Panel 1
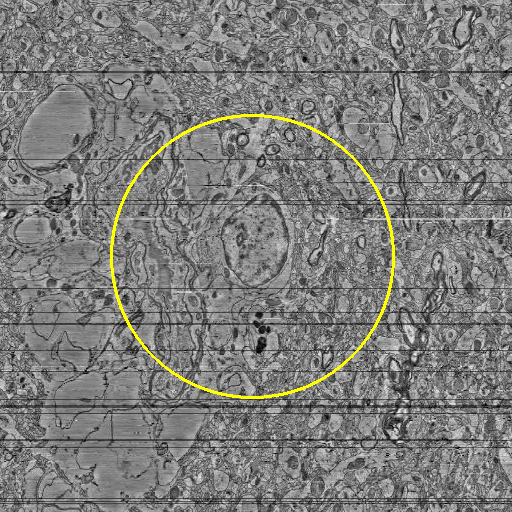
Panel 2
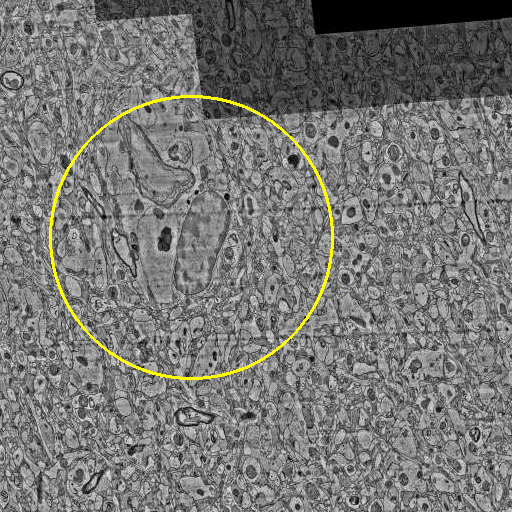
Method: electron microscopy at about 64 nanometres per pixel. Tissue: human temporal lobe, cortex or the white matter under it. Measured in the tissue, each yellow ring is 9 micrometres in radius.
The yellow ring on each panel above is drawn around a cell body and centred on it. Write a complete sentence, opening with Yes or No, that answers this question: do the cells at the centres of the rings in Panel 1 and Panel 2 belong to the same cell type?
Yes, both cells belong to the same cell type.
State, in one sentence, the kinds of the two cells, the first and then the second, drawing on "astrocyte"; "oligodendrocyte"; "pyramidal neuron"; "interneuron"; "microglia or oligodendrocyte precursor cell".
The second cell is a microglial cell or oligodendrocyte precursor cell, just as the first is.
